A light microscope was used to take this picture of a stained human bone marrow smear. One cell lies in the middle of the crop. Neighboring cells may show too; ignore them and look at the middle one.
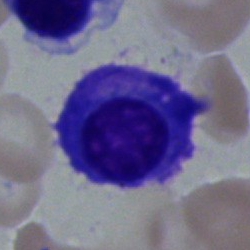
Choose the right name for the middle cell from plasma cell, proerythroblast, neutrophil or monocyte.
plasma cell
